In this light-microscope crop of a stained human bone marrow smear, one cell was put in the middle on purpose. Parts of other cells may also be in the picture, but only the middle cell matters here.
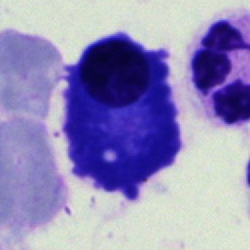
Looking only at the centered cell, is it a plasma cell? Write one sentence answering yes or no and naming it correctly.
Yes, the cell that occupies the centre is a plasma cell.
